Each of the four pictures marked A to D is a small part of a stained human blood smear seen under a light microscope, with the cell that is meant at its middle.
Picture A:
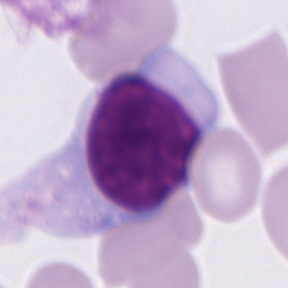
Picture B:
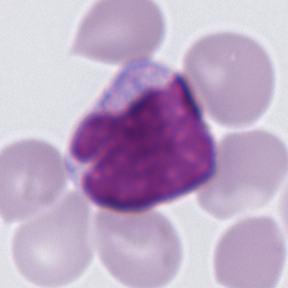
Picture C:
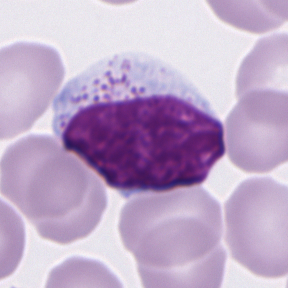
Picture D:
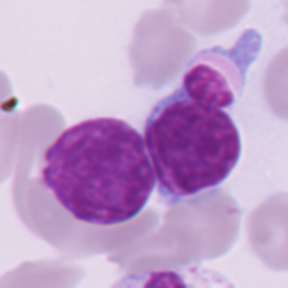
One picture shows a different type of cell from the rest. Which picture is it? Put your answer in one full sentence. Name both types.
The different one is picture D; it shows a myeloblast, whereas all the others show large granular lymphocytes.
